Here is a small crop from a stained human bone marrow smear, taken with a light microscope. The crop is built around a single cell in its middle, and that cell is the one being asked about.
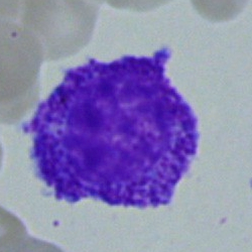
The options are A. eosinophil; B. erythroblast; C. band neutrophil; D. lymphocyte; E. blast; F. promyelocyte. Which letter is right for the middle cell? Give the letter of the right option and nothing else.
F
